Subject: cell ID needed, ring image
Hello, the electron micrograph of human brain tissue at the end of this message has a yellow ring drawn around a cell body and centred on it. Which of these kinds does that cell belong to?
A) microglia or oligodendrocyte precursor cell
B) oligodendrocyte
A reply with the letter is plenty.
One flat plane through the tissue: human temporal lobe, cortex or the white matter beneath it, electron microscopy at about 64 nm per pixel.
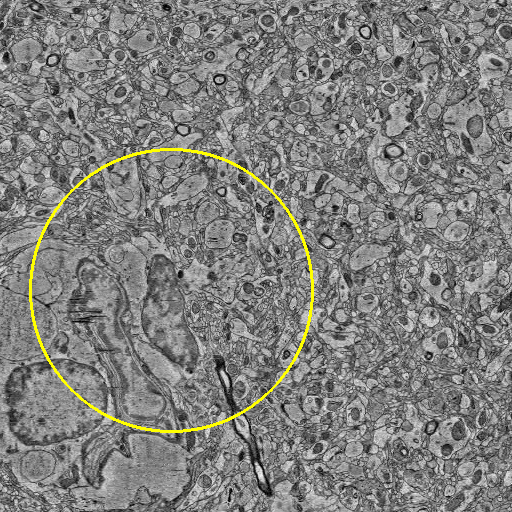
A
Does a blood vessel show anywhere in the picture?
Yes, one shows.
